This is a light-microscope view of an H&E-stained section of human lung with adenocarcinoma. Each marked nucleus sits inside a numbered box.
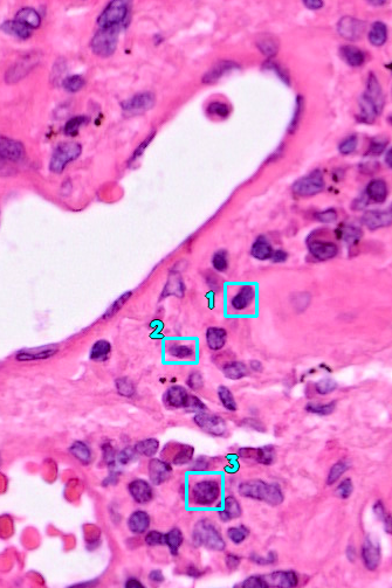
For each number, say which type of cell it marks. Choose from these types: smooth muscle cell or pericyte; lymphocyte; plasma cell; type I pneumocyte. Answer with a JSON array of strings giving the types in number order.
["lymphocyte", "plasma cell", "plasma cell"]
